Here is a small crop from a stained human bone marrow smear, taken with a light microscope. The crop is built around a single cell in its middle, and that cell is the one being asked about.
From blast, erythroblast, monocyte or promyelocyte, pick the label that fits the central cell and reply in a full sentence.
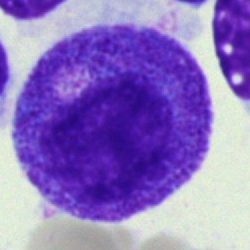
Within this crop, a promyelocyte occupies the central position.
